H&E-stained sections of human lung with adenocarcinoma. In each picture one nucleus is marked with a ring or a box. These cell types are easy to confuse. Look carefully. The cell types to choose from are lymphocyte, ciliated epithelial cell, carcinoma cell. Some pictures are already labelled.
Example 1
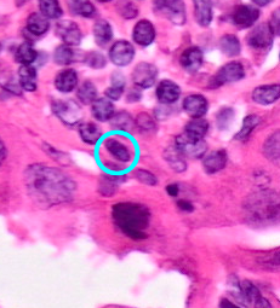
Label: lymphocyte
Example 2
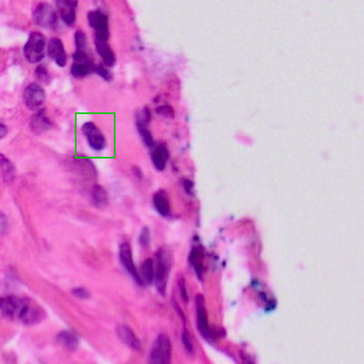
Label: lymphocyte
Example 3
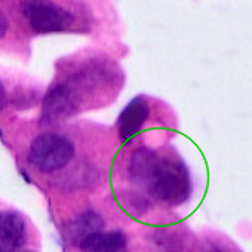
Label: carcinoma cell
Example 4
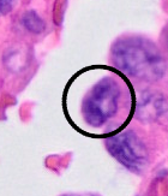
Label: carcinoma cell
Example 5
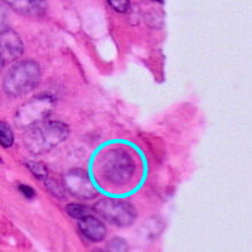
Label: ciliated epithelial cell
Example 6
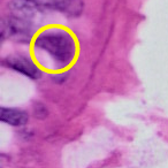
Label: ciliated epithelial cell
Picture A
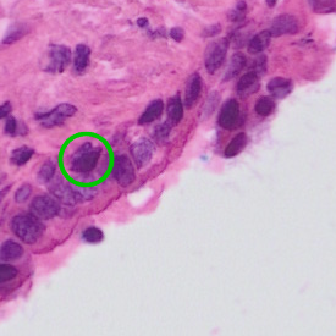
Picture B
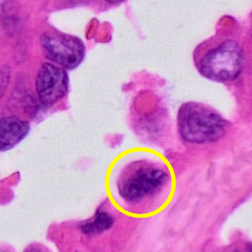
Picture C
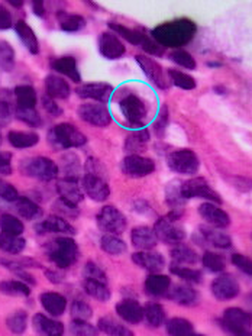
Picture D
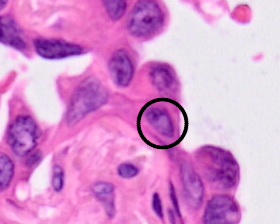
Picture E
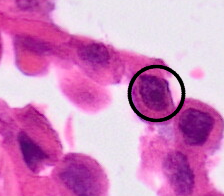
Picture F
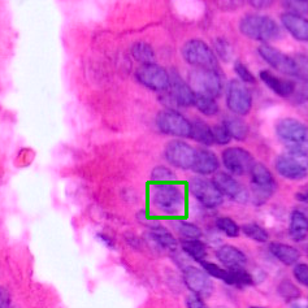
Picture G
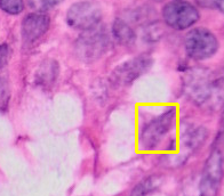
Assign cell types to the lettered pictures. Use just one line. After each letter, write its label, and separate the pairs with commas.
A ciliated epithelial cell, B carcinoma cell, C lymphocyte, D carcinoma cell, E carcinoma cell, F ciliated epithelial cell, G ciliated epithelial cell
